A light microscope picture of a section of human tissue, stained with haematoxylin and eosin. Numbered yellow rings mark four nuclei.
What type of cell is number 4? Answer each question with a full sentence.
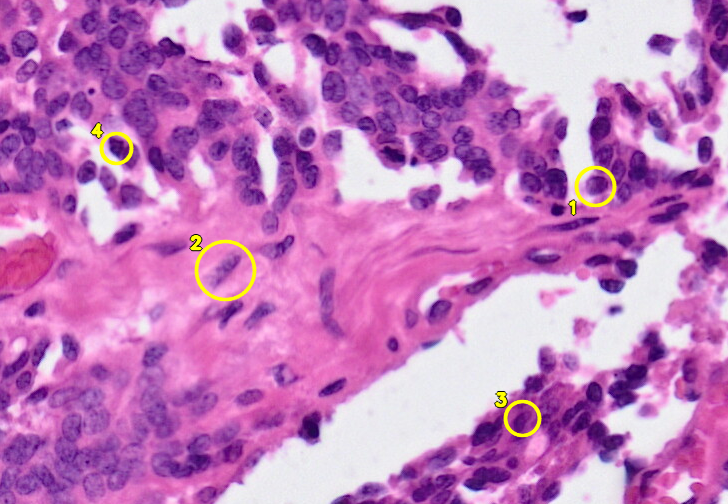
To a carcinoma cell belongs the nucleus marked 4.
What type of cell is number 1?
It is as a carcinoma cell that the cell numbered 1 is identified.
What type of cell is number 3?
The nucleus labelled 3 belongs to a carcinoma cell.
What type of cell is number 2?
Of the numbered cells, the one labelled 2 is a fibroblast.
